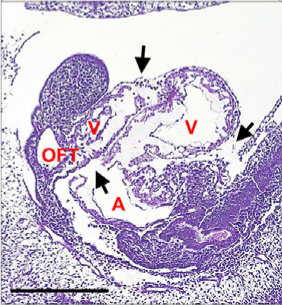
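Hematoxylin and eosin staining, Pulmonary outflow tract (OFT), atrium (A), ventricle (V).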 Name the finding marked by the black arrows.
Damaged tissues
